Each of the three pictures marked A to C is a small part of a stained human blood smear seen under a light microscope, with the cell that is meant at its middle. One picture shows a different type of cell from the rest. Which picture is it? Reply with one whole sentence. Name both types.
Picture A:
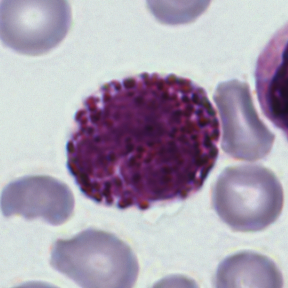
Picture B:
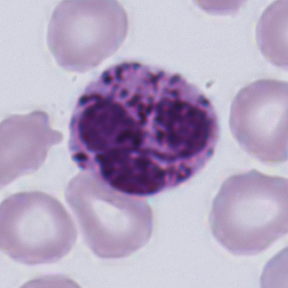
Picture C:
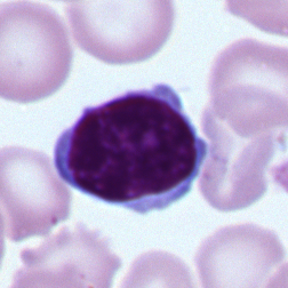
The others show basophils, but picture C shows a typical lymphocyte.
